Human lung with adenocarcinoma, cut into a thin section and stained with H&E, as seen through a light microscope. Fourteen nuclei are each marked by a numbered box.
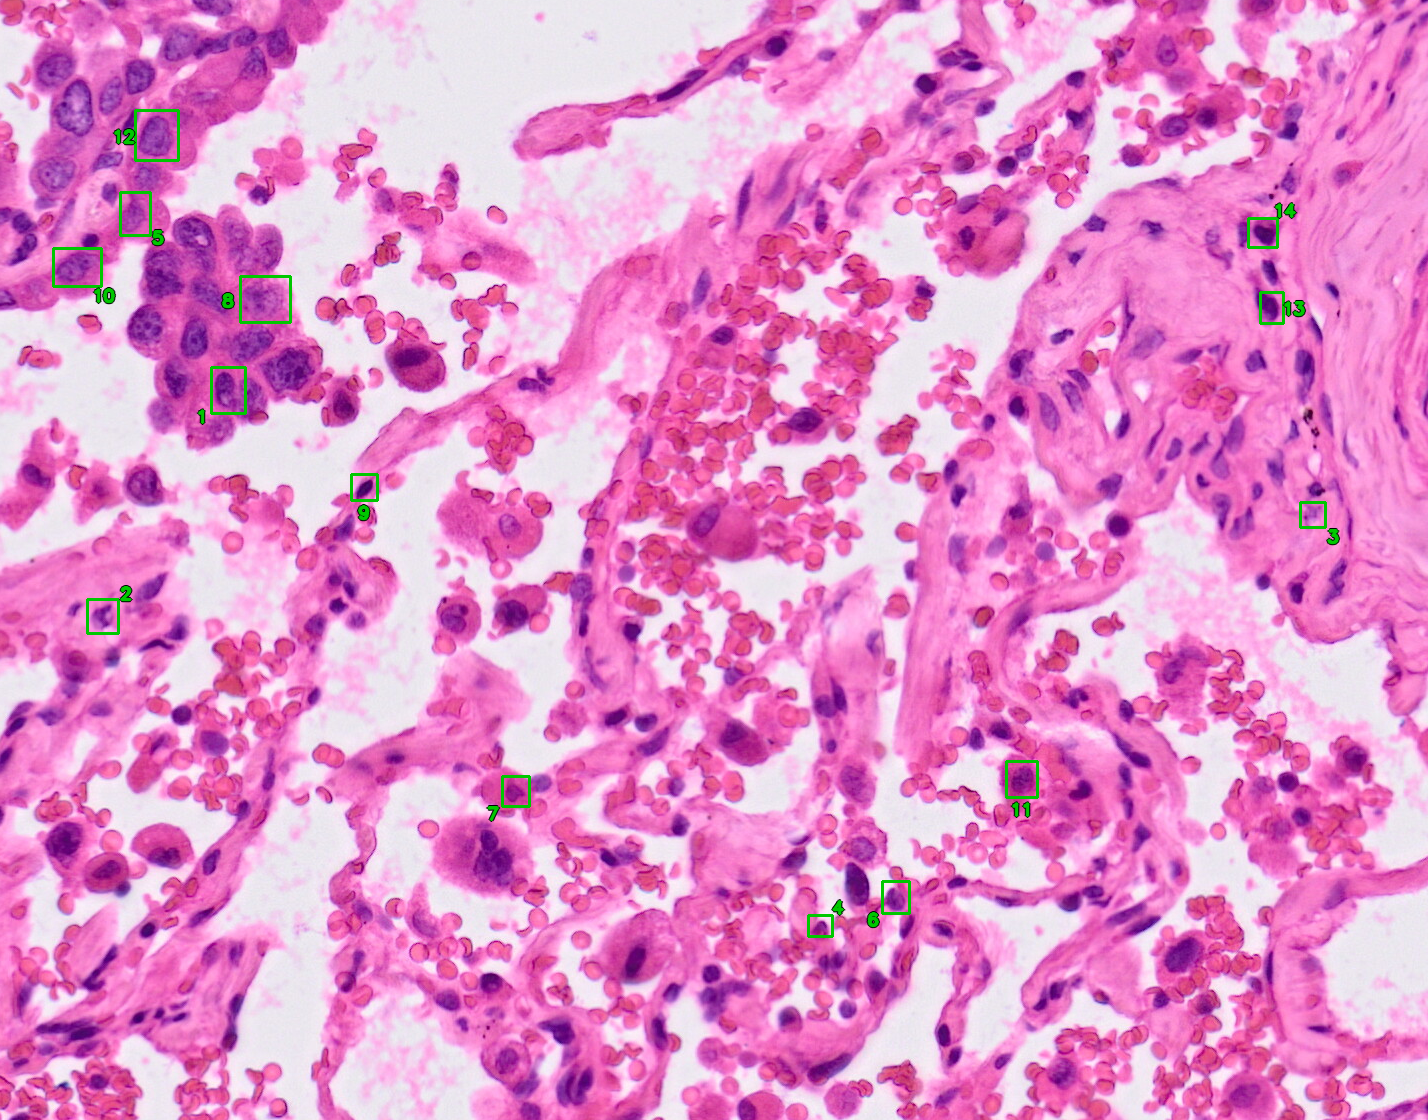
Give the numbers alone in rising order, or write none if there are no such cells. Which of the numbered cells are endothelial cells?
9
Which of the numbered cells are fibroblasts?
2, 3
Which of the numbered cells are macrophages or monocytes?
7, 11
